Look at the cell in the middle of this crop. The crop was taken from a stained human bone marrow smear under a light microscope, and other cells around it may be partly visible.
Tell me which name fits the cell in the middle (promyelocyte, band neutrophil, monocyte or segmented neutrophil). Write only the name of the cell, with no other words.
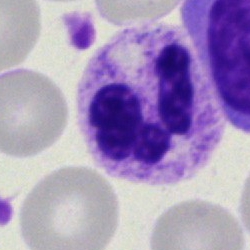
segmented neutrophil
